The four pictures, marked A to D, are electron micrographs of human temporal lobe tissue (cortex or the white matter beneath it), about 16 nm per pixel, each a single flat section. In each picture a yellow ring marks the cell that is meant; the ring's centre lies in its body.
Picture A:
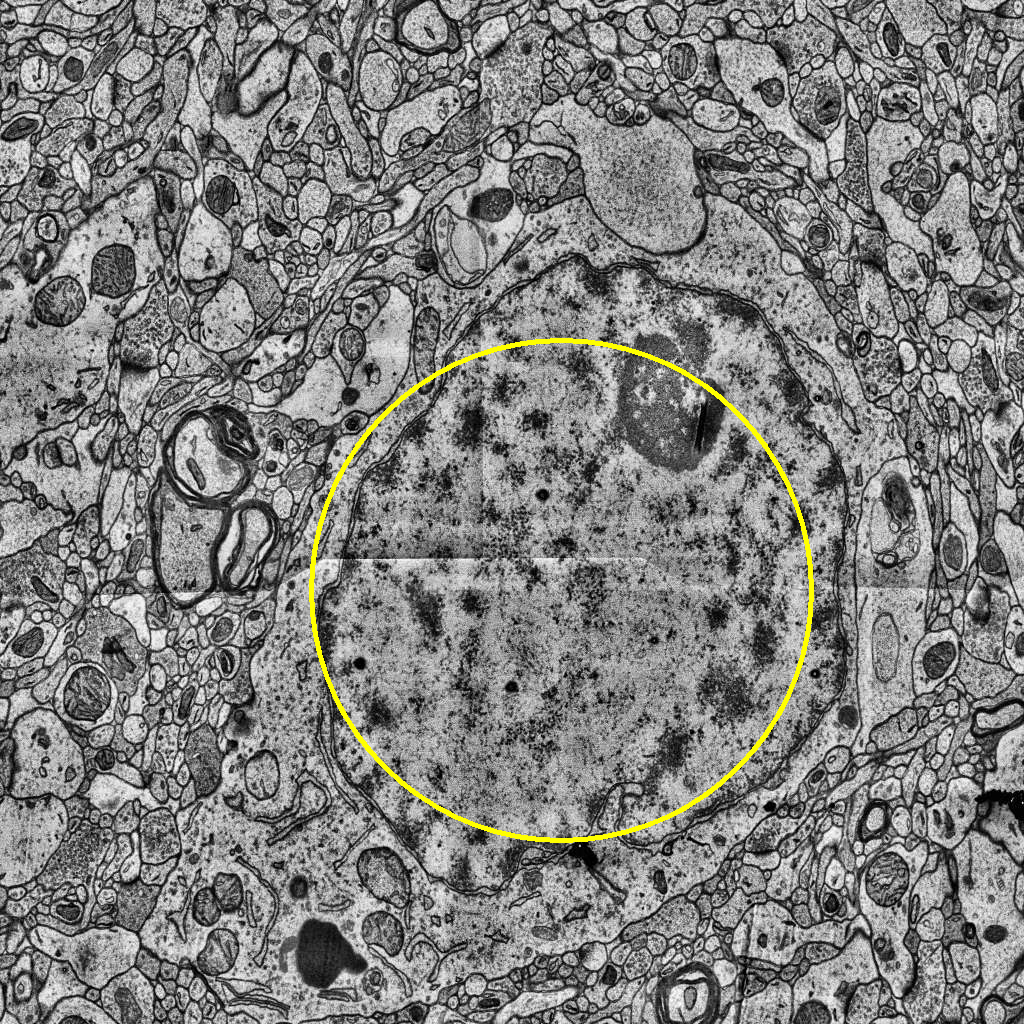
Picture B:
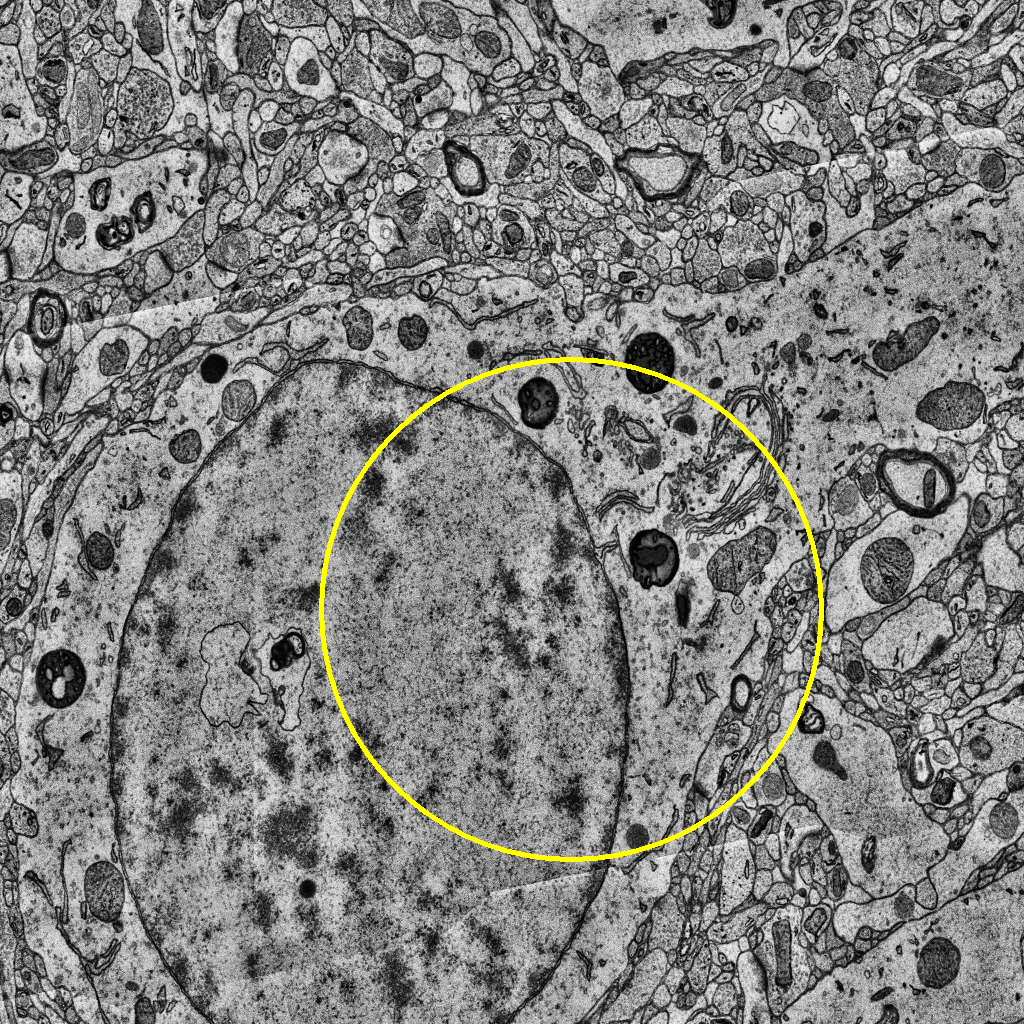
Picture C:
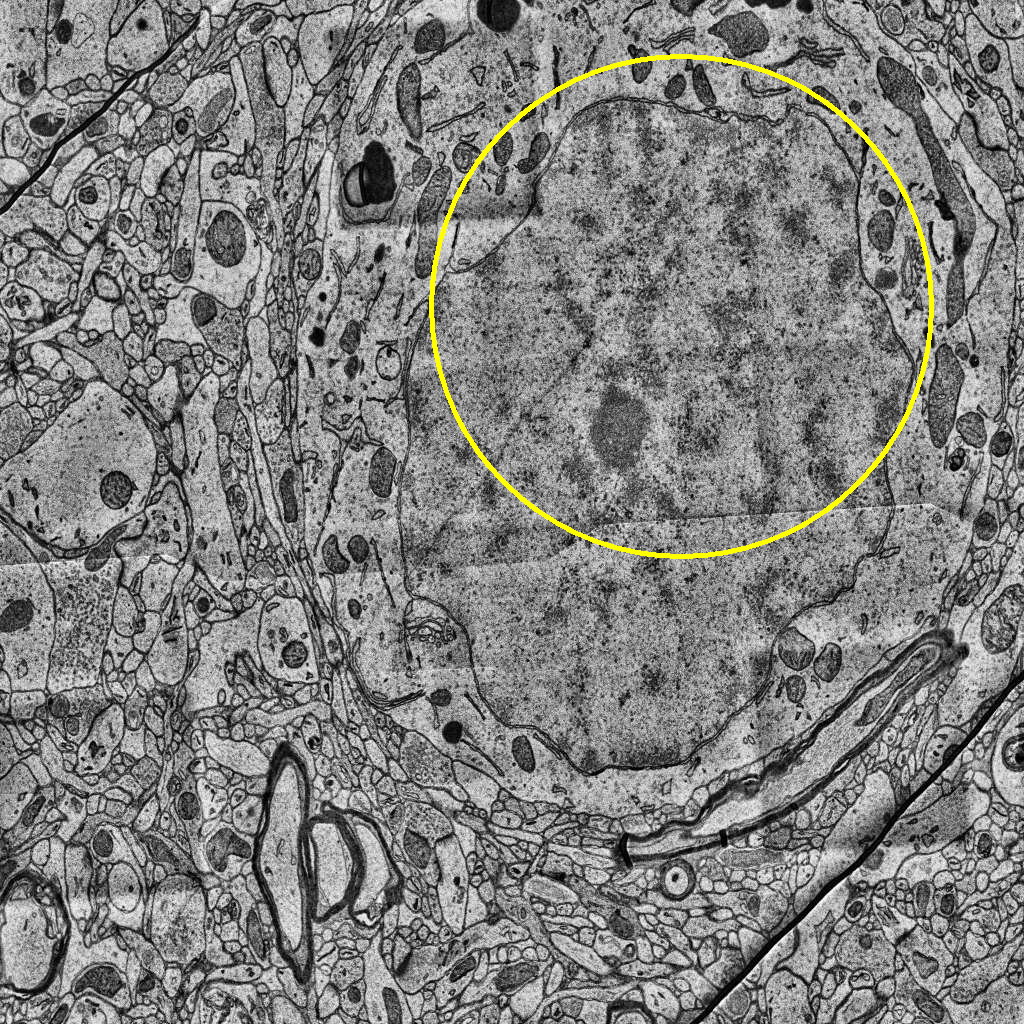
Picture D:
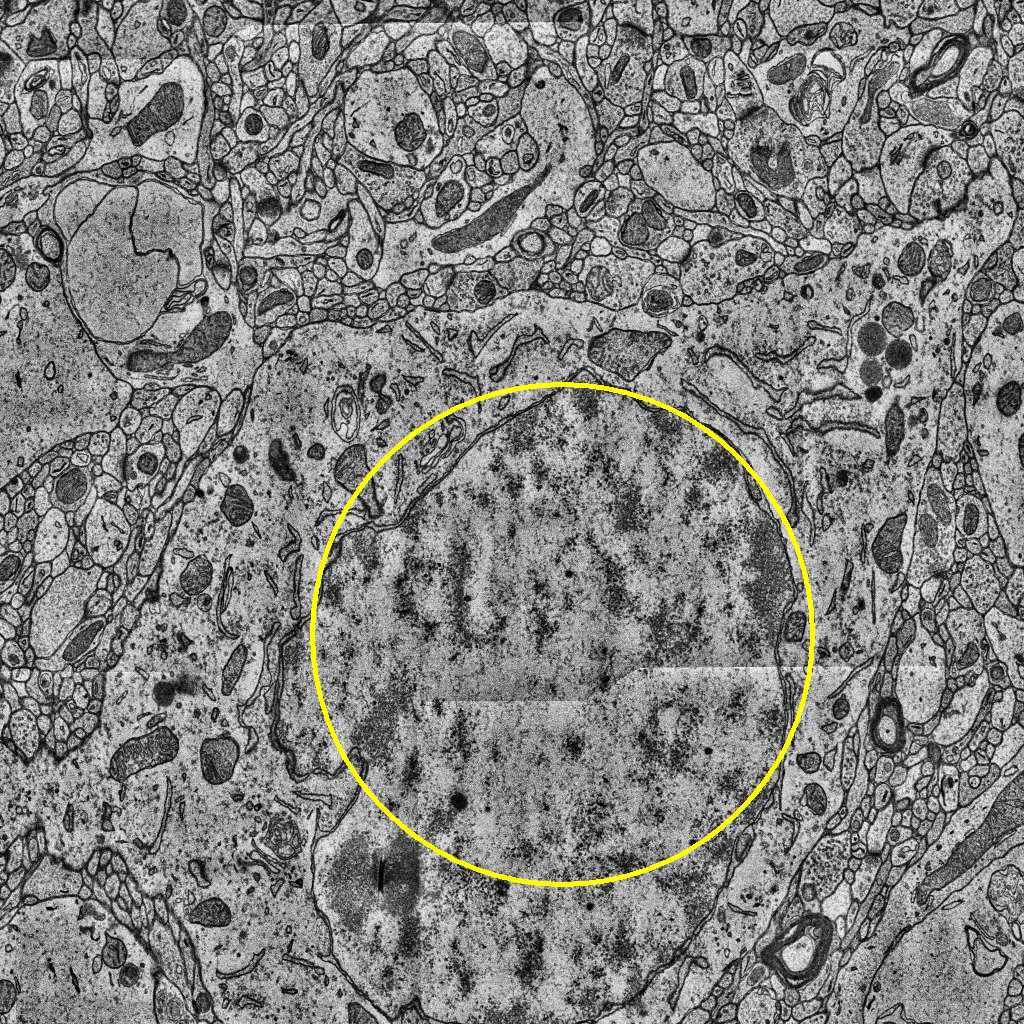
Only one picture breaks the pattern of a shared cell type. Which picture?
The others show interneurons, but picture B shows a pyramidal neuron.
